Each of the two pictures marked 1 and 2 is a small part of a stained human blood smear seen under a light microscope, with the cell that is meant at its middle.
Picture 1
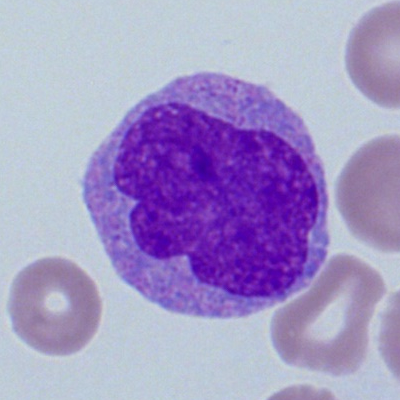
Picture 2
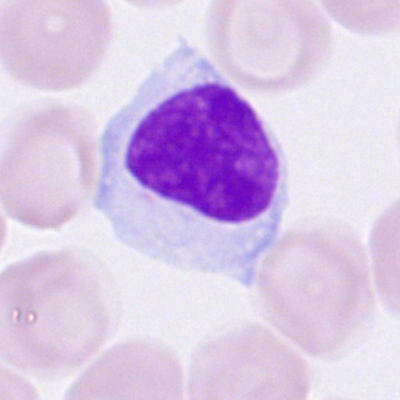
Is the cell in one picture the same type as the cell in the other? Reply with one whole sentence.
No, picture 1 shows a myeloblast and picture 2 shows a lymphocyte.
